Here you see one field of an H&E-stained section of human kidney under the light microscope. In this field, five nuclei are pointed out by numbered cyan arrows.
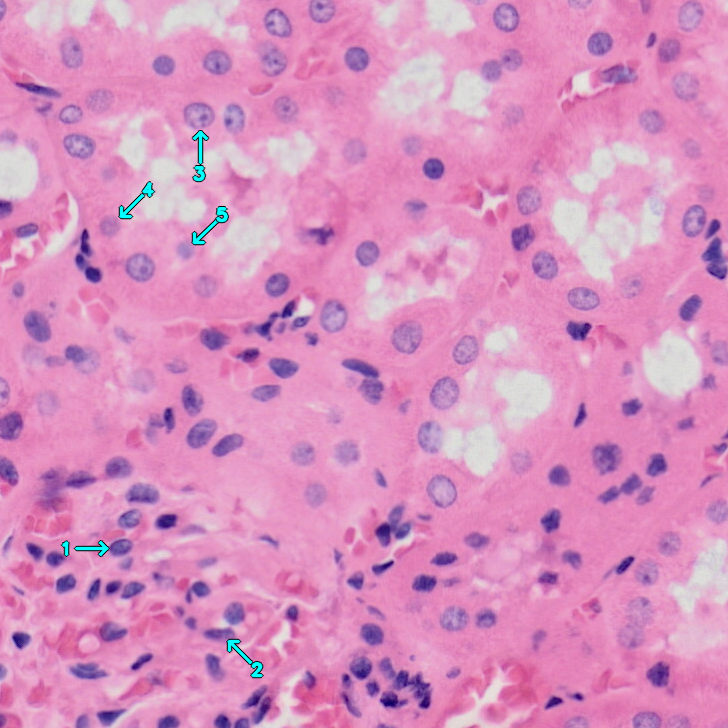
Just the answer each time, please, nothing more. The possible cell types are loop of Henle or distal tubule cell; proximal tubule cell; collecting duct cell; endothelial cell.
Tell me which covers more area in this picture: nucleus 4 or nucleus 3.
3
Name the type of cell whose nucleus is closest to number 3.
proximal tubule cell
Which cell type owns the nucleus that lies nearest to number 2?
endothelial cell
